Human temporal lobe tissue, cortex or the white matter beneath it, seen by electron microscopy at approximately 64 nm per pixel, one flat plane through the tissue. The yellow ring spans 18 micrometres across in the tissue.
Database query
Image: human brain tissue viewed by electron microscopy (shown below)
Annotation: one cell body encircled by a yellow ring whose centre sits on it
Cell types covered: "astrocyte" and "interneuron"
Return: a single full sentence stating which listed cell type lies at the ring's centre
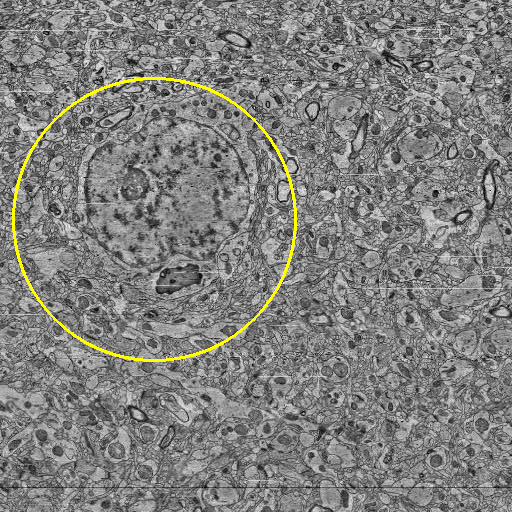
In the image, the cell lying at the ring's centre is an interneuron.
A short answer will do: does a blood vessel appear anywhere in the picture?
No, there is none.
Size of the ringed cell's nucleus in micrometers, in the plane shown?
Approximately 10 micrometers across in this plane.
